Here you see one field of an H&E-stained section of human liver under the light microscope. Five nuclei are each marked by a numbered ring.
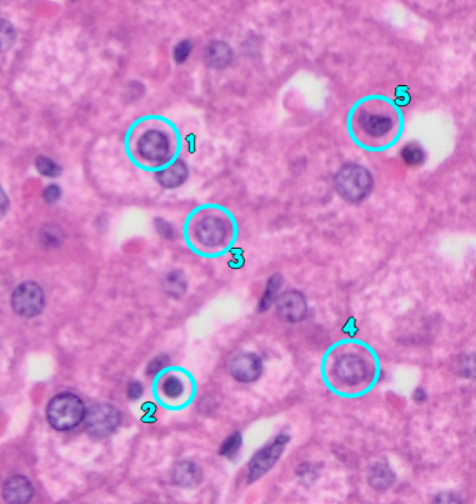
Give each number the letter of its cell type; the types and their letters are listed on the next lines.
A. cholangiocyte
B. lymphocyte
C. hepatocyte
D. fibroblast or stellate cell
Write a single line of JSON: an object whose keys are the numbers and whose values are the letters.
{"1": "C", "2": "B", "3": "C", "4": "C", "5": "D"}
